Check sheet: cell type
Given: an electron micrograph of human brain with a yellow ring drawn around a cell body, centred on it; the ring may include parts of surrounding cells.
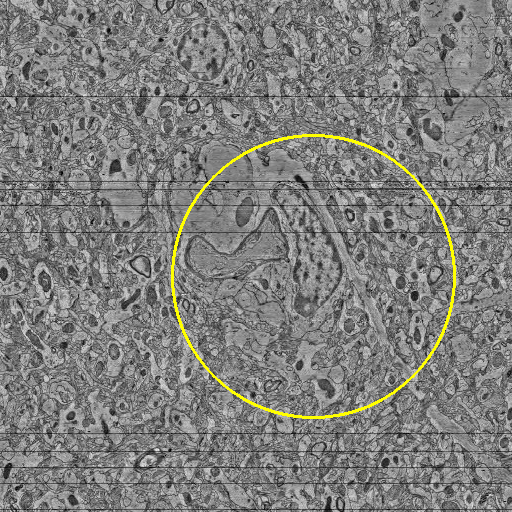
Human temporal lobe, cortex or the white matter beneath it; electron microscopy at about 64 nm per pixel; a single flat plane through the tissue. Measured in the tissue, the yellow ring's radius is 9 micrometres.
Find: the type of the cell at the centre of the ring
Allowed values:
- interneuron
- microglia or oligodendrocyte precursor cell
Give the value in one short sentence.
Here the ringed cell is a microglial cell or oligodendrocyte precursor cell.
